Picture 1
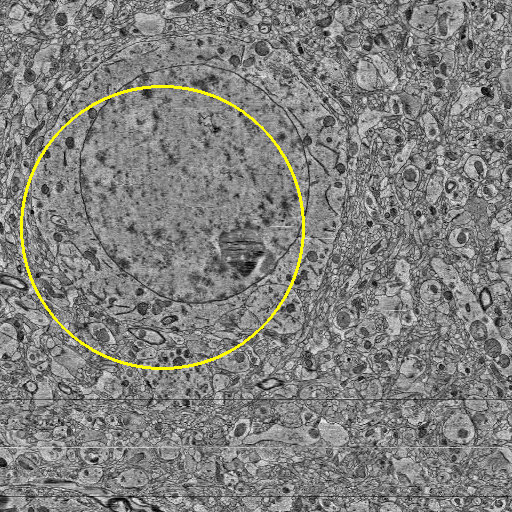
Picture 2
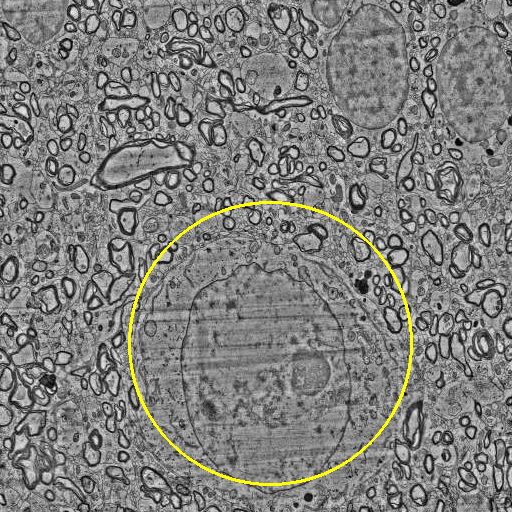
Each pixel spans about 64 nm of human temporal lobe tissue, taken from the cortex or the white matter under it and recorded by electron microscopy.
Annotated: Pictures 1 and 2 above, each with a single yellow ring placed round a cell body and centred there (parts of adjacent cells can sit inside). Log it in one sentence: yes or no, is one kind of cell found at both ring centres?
Yes, the ring centres of the two pictures hold cells of one kind.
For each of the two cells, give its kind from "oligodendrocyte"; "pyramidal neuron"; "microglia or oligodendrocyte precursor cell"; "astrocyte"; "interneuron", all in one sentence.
Both rings mark a pyramidal neuron, one in each picture.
